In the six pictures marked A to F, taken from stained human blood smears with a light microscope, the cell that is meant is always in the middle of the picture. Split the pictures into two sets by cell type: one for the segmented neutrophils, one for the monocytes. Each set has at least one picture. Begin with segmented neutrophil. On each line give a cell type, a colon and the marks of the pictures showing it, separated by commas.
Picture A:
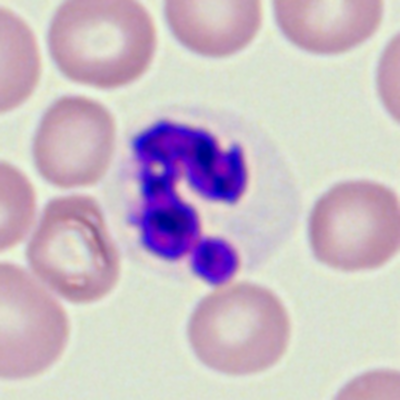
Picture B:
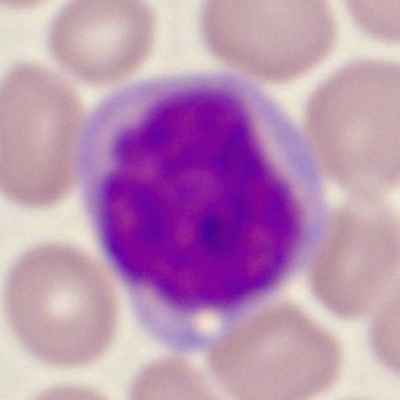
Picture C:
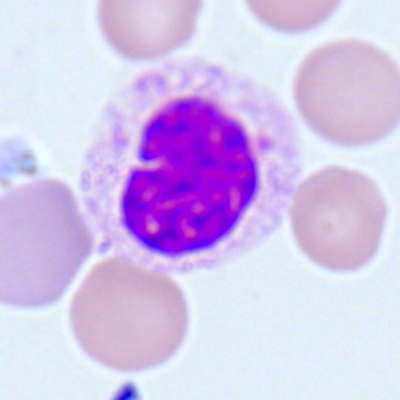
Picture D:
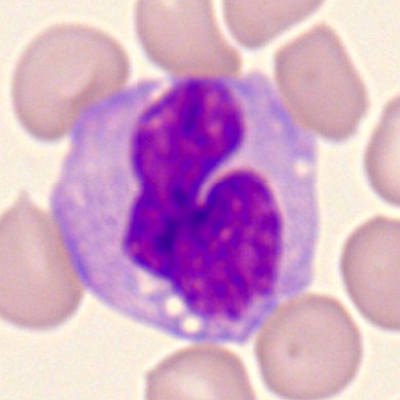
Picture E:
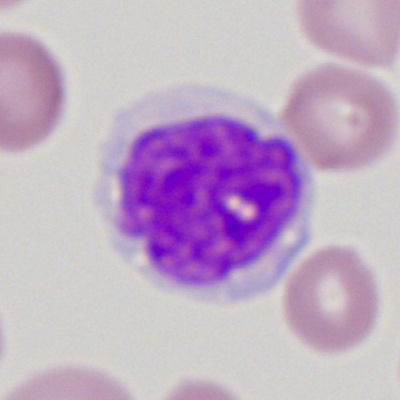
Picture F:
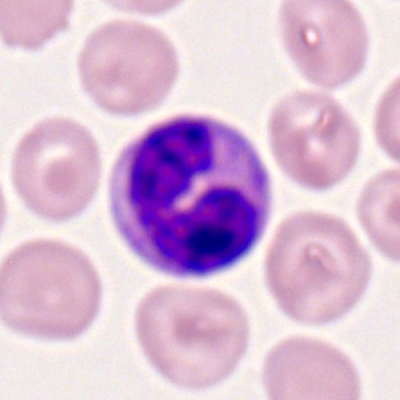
segmented neutrophil: A, C, F
monocyte: B, D, E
